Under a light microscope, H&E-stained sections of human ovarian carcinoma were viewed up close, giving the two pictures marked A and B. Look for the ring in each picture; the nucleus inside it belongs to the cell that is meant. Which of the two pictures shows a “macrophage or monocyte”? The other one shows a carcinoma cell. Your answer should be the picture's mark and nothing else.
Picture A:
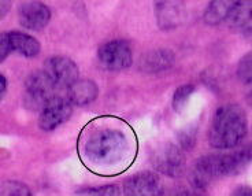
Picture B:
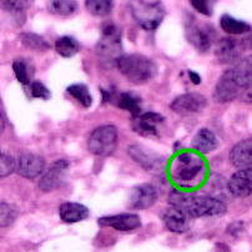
A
